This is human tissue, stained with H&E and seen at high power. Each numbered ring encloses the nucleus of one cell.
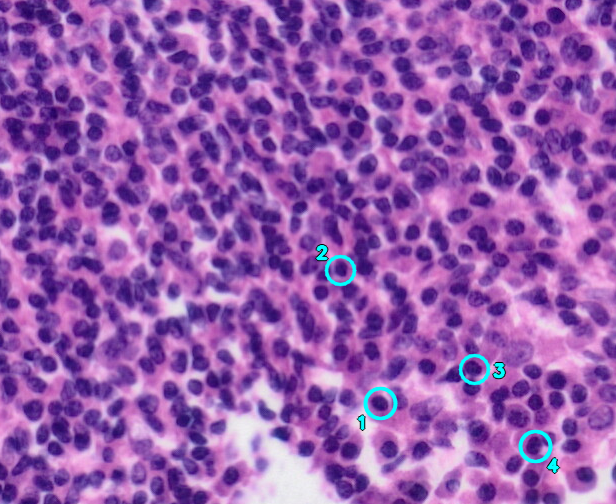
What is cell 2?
small lymphocyte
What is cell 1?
plasma cell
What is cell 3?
plasma cell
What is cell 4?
plasma cell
